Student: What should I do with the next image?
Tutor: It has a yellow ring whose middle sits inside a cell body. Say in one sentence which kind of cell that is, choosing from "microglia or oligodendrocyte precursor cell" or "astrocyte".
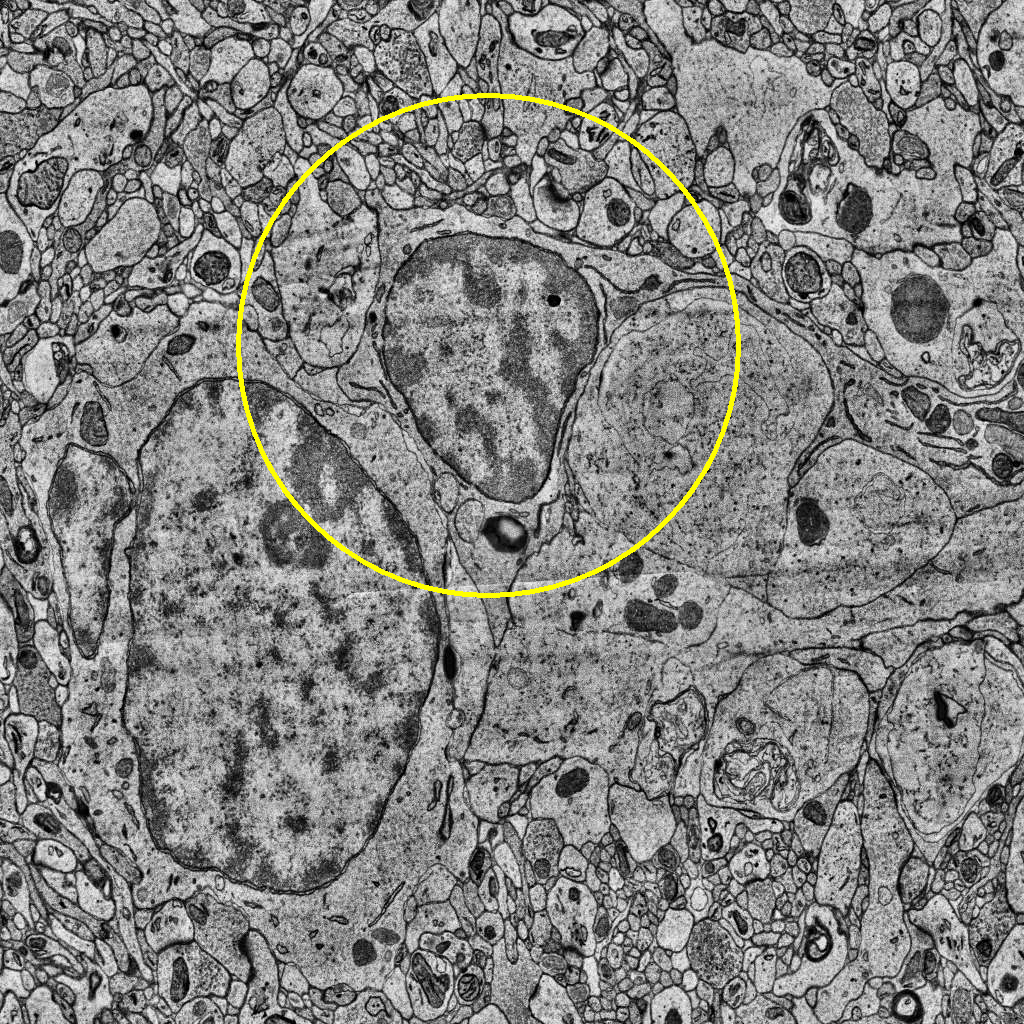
The ring's centre is occupied by a microglial cell or oligodendrocyte precursor cell.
